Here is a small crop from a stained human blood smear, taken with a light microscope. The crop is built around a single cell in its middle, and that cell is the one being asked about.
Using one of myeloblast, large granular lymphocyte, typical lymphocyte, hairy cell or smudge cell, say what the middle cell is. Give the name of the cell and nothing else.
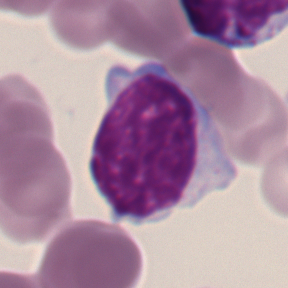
large granular lymphocyte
